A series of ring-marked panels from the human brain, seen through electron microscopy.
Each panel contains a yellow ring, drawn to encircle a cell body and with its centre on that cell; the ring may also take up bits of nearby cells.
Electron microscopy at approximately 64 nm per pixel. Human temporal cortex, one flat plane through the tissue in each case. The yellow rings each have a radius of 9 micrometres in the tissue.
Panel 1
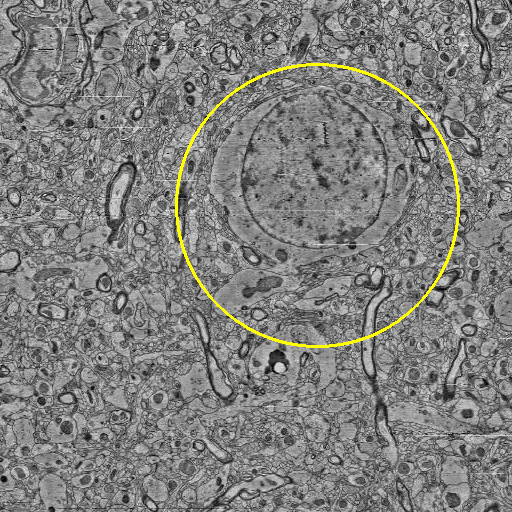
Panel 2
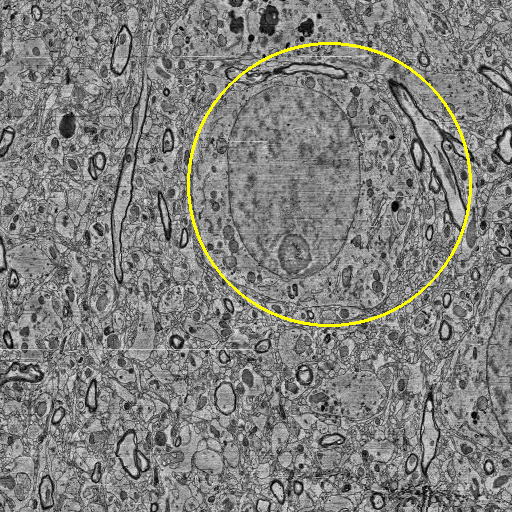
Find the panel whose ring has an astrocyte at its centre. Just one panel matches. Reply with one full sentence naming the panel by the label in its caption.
The sought cell lies at the centre of the ring shown in Panel 1.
